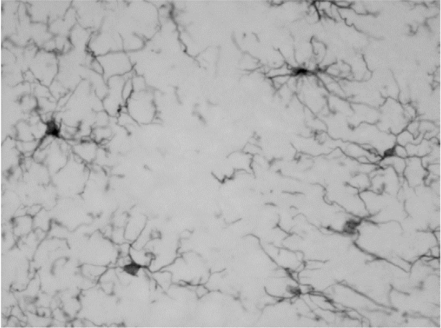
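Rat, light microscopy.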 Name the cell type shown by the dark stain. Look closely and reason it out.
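Small dark cell bodies with many fine ramified processes. Cells spaced apart across a pale background.
Answer: microglial cells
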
